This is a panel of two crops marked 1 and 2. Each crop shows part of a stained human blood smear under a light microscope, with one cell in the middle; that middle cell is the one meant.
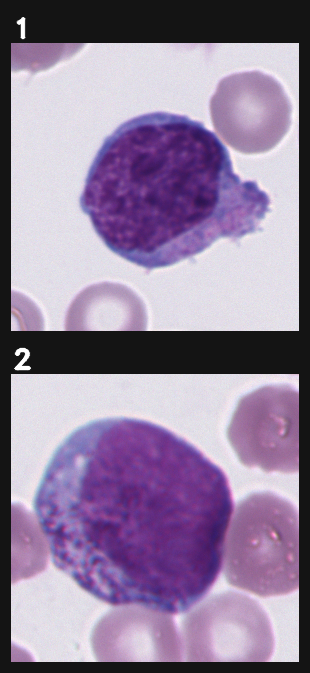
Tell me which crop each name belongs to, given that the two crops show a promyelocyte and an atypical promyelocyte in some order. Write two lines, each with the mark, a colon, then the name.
1: atypical promyelocyte
2: promyelocyte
